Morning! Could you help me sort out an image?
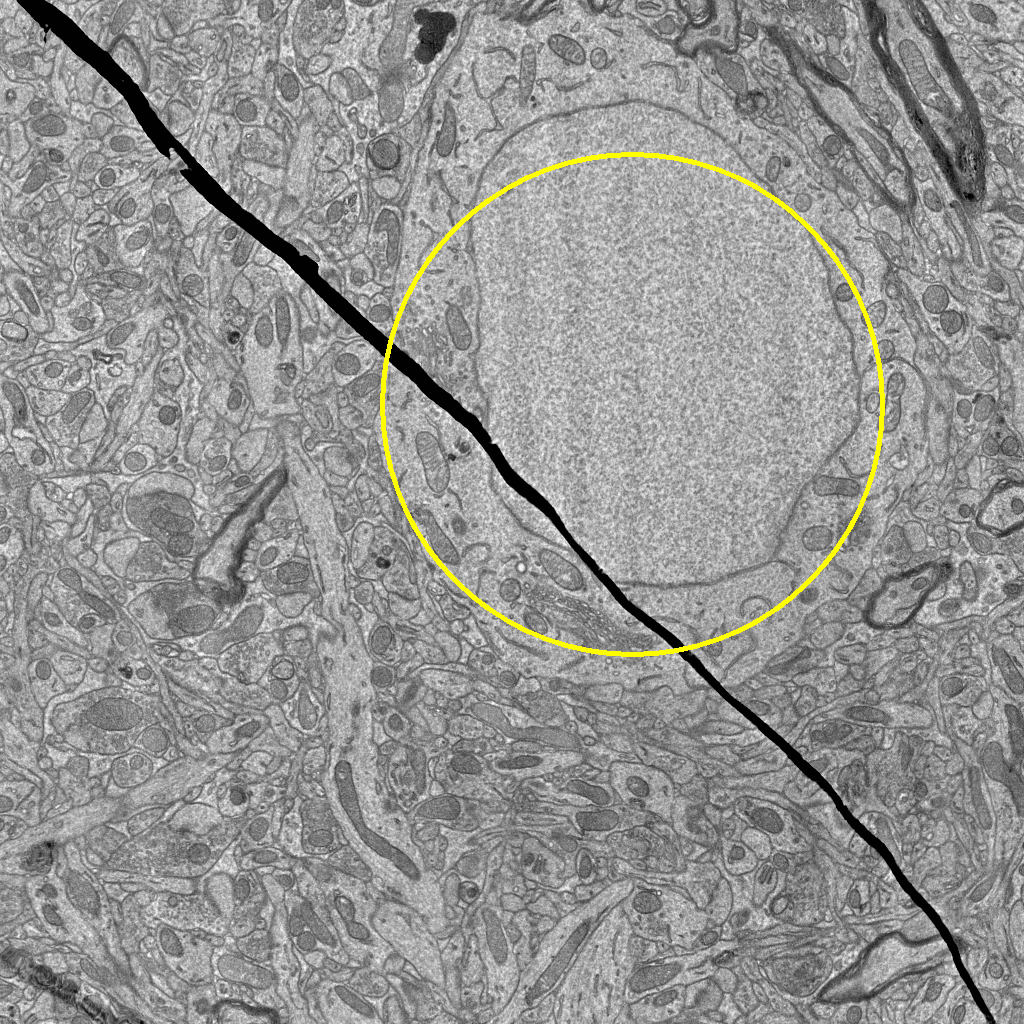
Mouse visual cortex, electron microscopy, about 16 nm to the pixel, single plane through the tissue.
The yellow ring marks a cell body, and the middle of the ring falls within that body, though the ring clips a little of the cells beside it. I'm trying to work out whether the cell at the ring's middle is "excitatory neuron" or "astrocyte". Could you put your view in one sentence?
The cell body at the ring's middle is that of an excitatory neuron.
